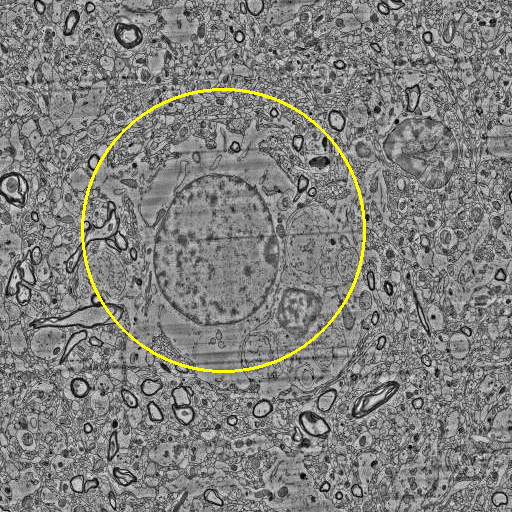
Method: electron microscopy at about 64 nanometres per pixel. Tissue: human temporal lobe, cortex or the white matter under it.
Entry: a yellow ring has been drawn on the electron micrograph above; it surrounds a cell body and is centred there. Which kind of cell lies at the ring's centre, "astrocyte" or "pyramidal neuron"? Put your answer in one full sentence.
The cell sitting at the ring's centre is an astrocyte in the micrograph above.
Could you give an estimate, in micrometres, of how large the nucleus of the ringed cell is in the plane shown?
The ringed cell's nucleus measures approximately 10 by 8 micrometres in this plane.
